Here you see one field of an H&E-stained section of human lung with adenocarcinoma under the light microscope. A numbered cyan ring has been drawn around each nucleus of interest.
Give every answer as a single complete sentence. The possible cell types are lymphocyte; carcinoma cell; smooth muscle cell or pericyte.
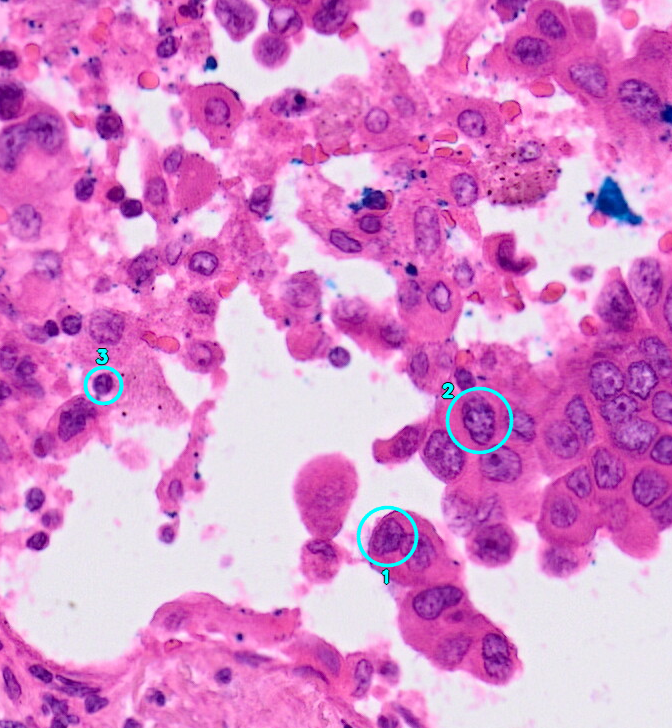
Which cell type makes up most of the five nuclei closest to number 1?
Carcinoma cells account for more than half of the five nuclei nearest to number 1.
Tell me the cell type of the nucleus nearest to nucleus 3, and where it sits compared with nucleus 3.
It is a carcinoma cell, whose nucleus lies below and to the left of nucleus 3.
